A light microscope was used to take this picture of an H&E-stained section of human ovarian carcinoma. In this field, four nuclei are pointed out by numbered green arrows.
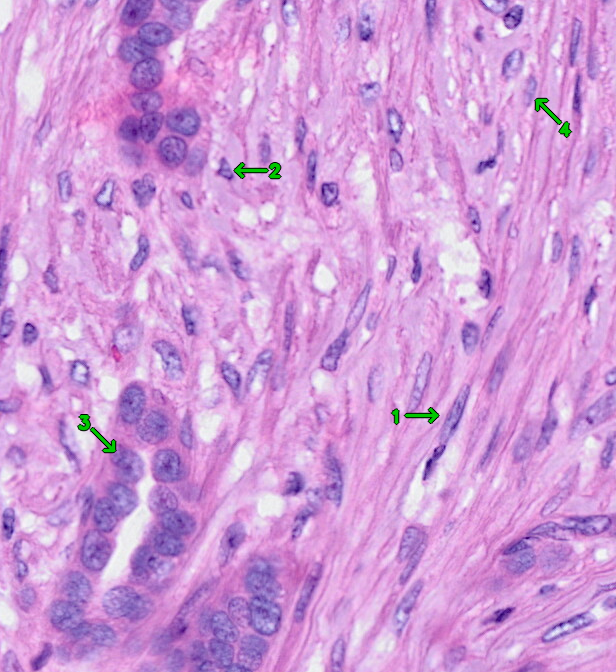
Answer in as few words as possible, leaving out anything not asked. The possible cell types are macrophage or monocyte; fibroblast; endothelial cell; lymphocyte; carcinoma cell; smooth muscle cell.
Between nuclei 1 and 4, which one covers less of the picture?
4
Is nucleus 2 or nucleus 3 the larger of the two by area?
3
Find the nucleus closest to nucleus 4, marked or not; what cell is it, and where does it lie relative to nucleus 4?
a fibroblast, above and to the left of nucleus 4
